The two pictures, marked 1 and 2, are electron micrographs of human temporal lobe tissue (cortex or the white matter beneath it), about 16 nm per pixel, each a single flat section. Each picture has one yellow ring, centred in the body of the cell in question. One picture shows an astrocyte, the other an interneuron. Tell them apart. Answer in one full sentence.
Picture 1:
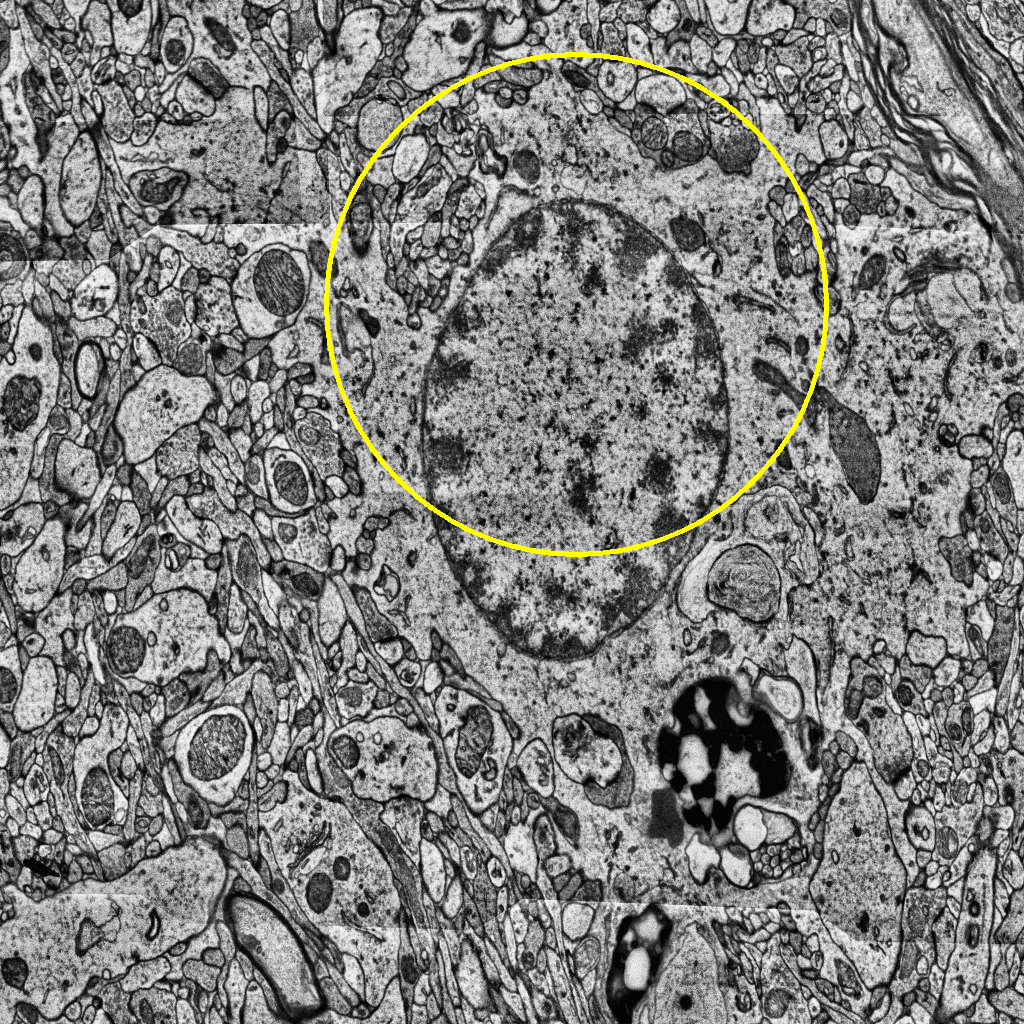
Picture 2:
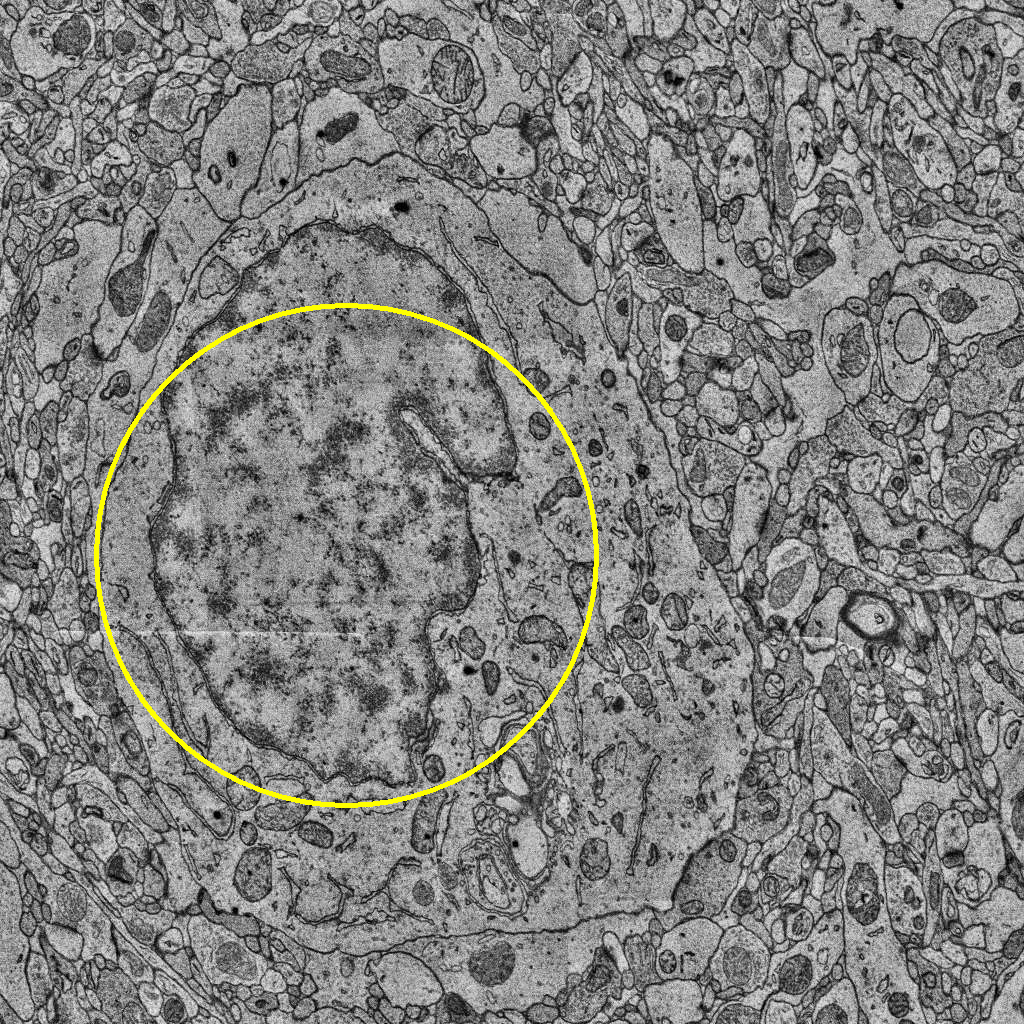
Picture 2 shows an interneuron, while picture 1 shows an astrocyte.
